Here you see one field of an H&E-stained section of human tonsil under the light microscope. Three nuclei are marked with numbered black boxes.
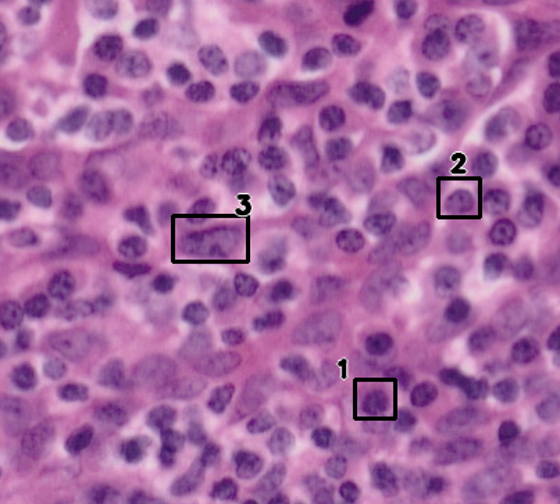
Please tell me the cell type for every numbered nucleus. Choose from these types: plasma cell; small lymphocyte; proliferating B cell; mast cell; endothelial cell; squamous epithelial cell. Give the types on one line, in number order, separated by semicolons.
plasma cell; plasma cell; squamous epithelial cell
